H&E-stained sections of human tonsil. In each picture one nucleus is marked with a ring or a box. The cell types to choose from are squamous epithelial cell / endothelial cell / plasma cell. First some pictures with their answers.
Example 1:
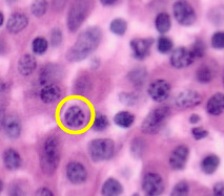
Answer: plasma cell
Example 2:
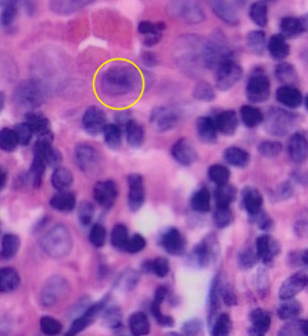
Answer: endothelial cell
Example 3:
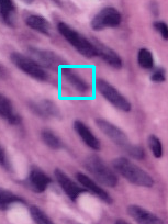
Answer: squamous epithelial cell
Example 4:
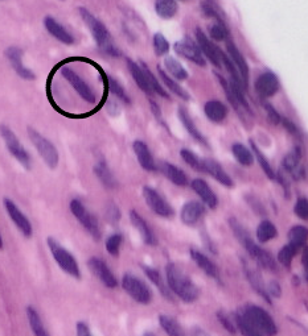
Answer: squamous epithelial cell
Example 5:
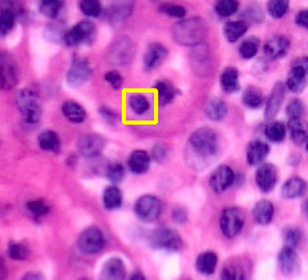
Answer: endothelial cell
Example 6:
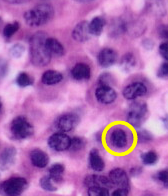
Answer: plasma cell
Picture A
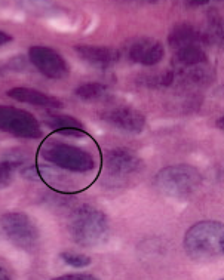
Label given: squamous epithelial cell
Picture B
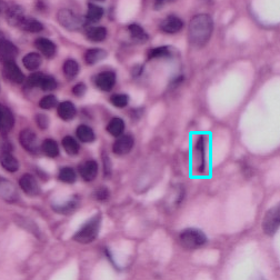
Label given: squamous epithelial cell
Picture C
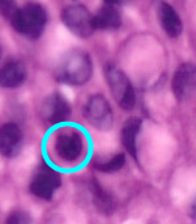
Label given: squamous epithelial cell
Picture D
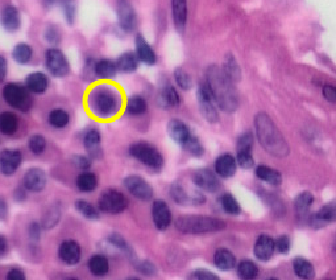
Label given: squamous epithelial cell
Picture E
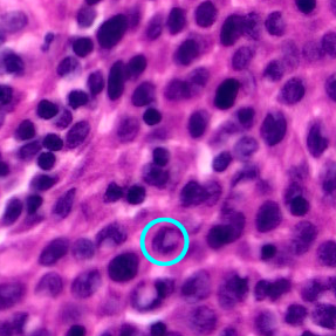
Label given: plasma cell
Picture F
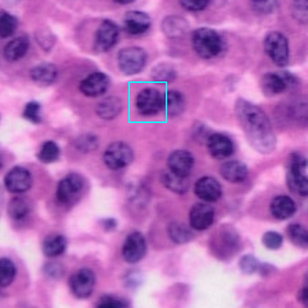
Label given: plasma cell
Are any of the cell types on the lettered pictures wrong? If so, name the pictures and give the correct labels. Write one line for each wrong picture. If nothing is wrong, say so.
D: not squamous epithelial cell but plasma cell
E: not plasma cell but squamous epithelial cell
